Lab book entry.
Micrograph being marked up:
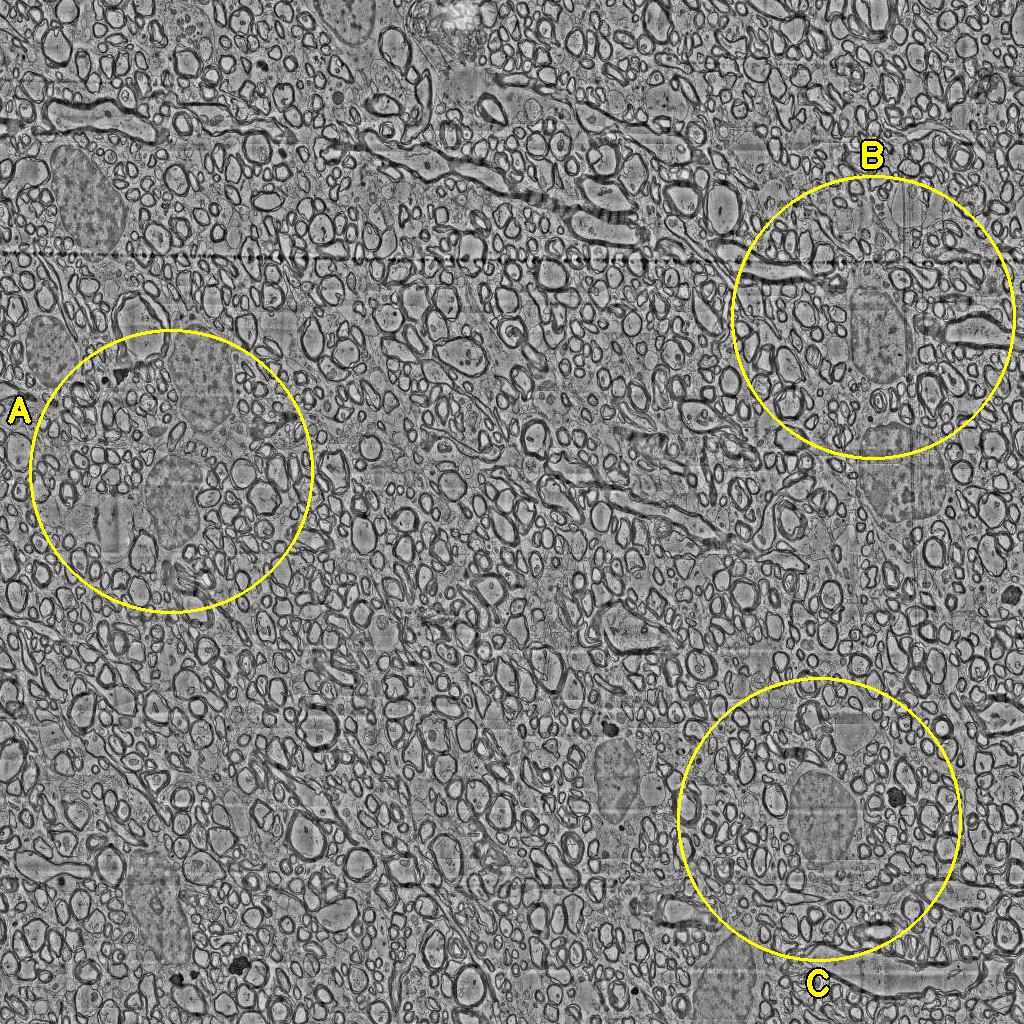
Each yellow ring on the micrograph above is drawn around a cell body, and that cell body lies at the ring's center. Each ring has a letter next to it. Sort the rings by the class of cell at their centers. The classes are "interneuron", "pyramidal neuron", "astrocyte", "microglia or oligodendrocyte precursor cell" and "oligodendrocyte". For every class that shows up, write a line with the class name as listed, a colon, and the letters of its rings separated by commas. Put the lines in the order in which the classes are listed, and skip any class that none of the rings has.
oligodendrocyte: A, B, C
